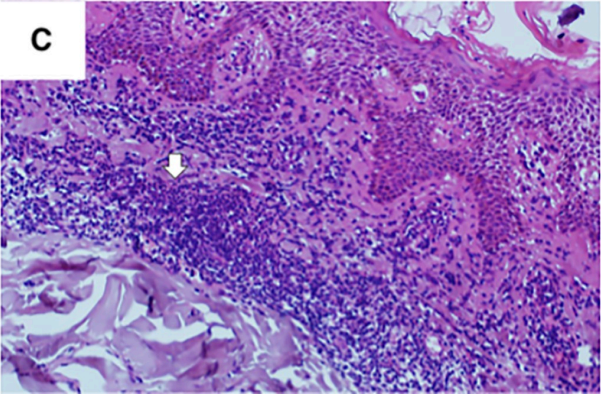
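Skin in which a dense band of small lymphocytes with dark, hyperchromatic nuclei fills the upper dermis directly under the epidermis. Lymphoid cells also extend into the overlying epidermis, and thick pink collagen bundles of fibrotic dermis lie beneath the band.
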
